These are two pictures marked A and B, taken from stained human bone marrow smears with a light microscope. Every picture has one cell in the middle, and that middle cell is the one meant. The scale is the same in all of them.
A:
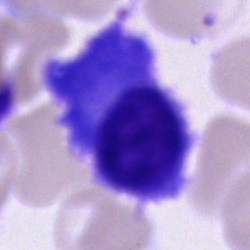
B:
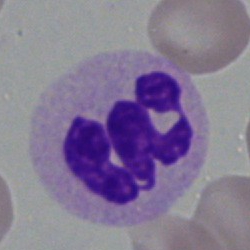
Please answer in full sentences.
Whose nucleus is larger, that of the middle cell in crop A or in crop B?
Crop B shows the larger nucleus; it covers about 1.5 times the area of the nucleus in crop A.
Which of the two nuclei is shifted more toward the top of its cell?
The nucleus in crop B lies further toward the top of its cell.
